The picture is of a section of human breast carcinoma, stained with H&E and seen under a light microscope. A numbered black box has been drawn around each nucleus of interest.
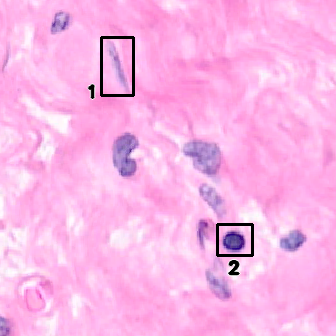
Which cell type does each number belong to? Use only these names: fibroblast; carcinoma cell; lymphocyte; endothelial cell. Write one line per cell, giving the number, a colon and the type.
1: fibroblast
2: lymphocyte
